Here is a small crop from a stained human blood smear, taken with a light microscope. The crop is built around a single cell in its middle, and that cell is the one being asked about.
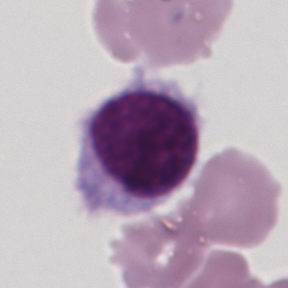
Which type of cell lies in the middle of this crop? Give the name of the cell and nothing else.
hairy cell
